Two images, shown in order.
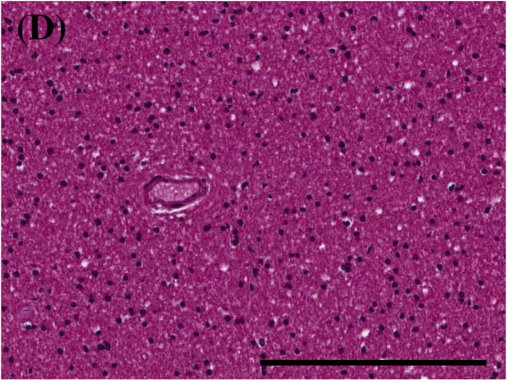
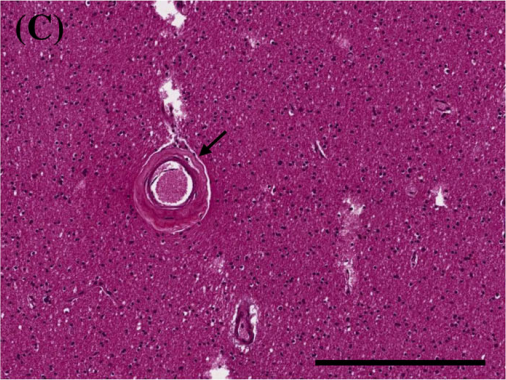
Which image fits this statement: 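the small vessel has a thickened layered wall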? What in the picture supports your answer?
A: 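First image: the vessel has a thin wall around its lumen. Second image: the vessel wall is thick with concentric layers around a small lumen. The answer: the second image.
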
